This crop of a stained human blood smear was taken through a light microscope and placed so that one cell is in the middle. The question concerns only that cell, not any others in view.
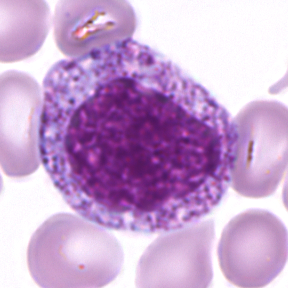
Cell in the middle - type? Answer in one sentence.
To answer, the cell in the center of the crop is a myelocyte.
